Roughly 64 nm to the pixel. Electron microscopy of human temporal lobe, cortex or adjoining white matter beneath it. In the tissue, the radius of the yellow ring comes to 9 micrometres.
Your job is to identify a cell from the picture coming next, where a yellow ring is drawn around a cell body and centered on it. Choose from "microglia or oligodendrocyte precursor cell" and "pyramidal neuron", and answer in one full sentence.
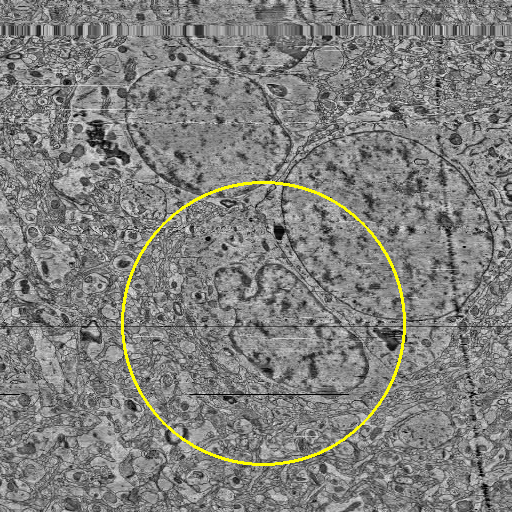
Centered in the yellow ring of the picture is the body of a microglial cell or oligodendrocyte precursor cell.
